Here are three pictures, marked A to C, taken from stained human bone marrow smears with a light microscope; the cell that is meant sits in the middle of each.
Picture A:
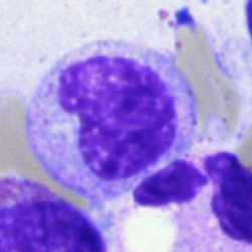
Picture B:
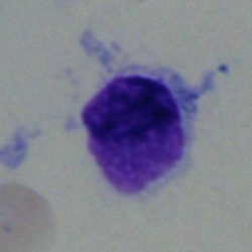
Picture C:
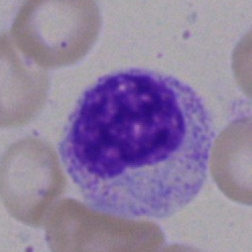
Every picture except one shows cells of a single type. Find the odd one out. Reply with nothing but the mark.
B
